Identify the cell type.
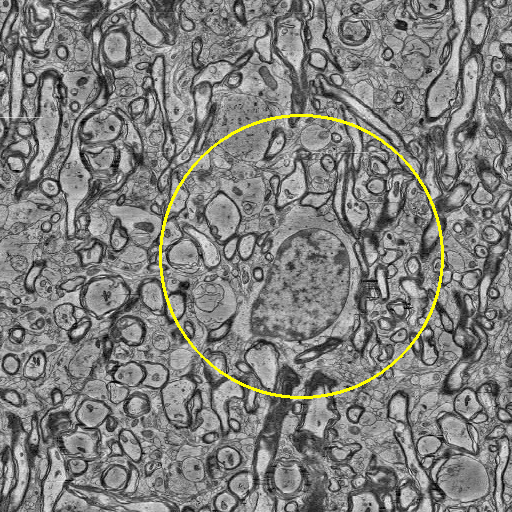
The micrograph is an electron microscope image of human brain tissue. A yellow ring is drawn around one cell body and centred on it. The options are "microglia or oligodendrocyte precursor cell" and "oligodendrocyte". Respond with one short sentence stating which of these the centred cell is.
The cell body in the ring belongs to a microglial cell or oligodendrocyte precursor cell.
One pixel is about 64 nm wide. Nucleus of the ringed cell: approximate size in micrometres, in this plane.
About 9 by 5 micrometres; in this plane the nucleus is clearly longer than it is wide.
